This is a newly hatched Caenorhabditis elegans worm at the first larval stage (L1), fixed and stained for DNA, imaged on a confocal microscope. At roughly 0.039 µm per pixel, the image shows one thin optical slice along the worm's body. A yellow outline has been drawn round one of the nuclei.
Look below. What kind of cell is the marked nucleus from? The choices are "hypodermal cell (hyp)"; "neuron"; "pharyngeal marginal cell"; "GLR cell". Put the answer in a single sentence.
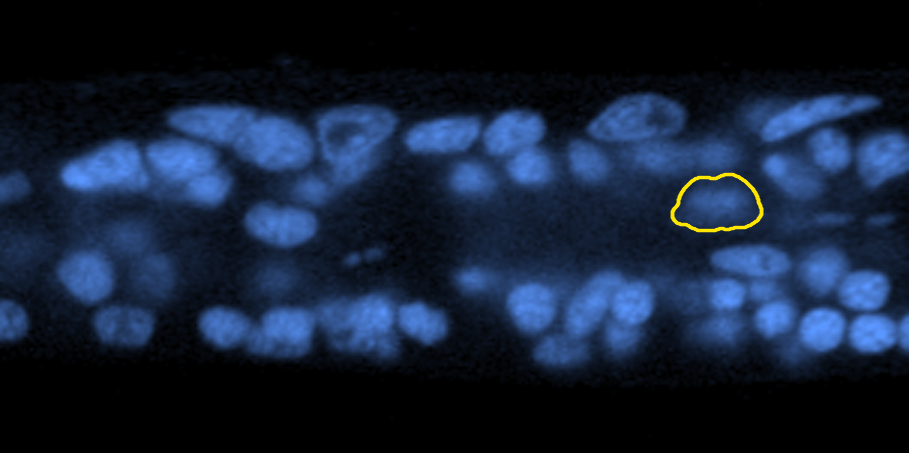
What is marked is the nucleus of a pharyngeal marginal cell.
